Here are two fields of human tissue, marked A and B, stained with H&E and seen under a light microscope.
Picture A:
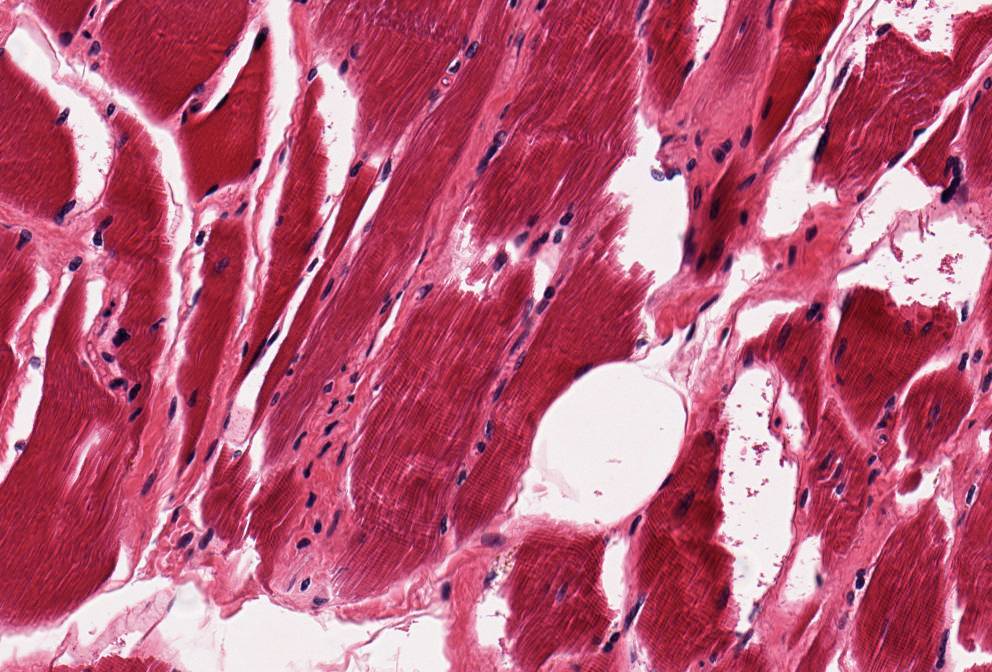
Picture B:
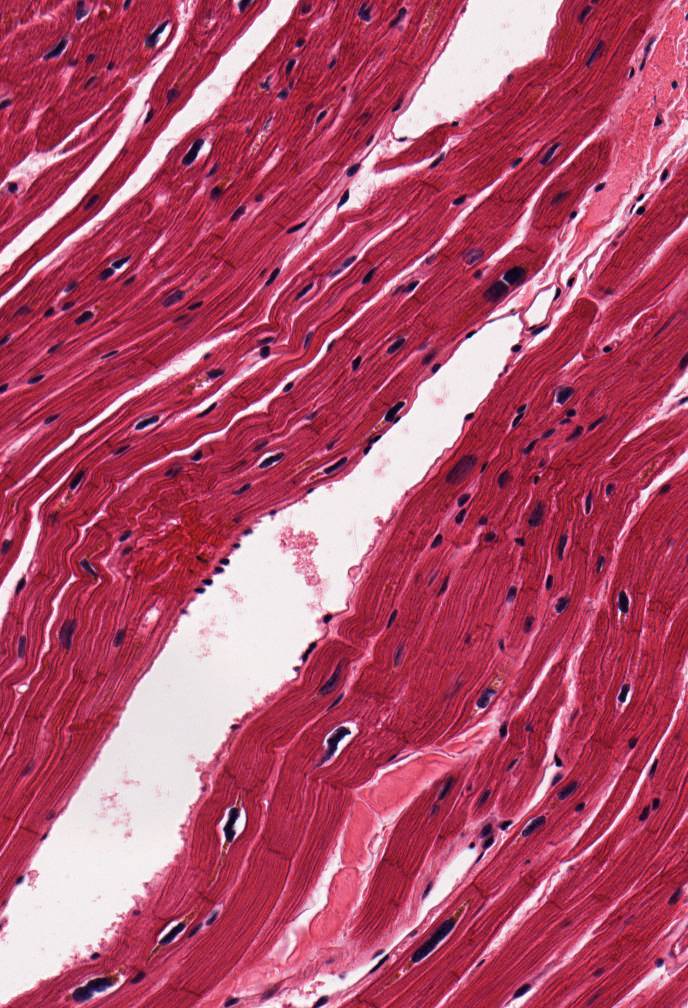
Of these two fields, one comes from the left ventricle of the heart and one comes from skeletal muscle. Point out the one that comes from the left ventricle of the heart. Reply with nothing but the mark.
B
